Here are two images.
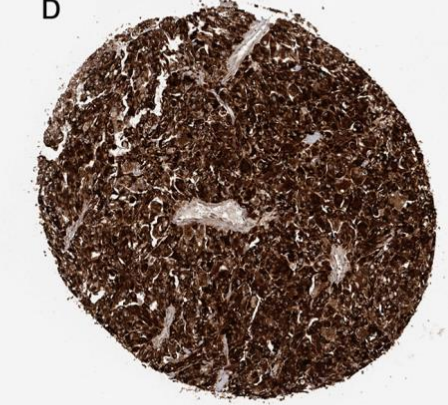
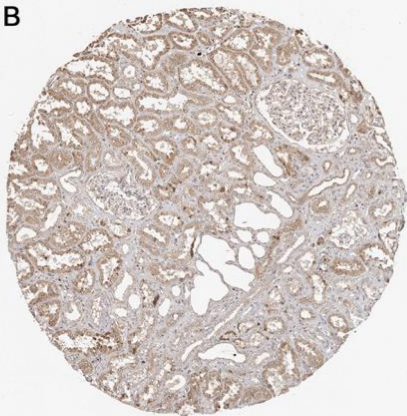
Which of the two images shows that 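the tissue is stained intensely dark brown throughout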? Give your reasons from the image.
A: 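First image: nearly the whole core is dark brown, only thin vessels and stroma stay pale. Second image: light to moderate brown in tubules, with pale glomeruli and interstitium.
Answer: the first image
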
